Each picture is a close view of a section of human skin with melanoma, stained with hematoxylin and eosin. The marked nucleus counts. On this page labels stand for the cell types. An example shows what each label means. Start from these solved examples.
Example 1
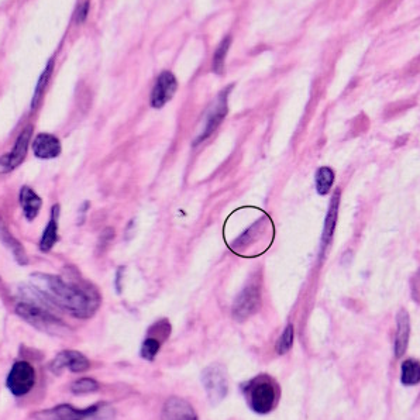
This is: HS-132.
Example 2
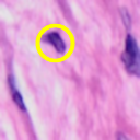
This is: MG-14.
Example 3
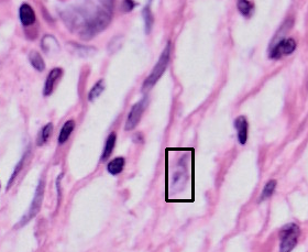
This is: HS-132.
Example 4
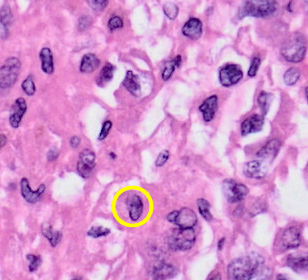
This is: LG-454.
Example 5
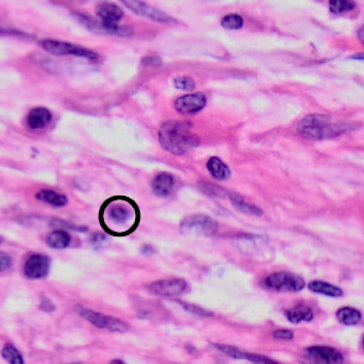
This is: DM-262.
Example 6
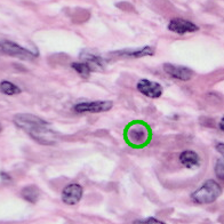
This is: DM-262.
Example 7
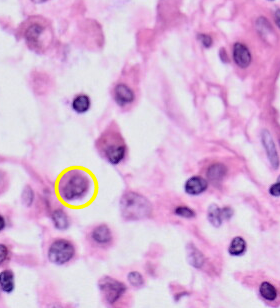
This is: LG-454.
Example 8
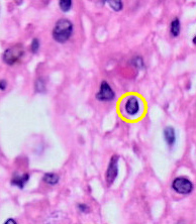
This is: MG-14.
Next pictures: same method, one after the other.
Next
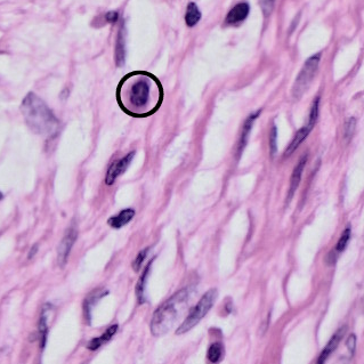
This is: DM-262.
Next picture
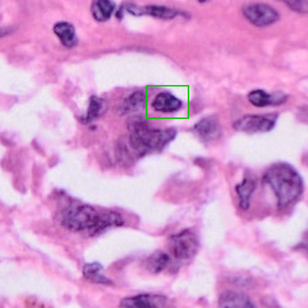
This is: MG-14.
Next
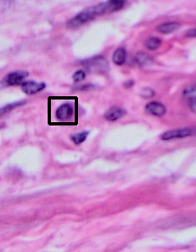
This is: DM-262.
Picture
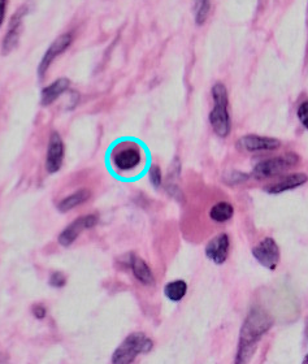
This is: DM-262.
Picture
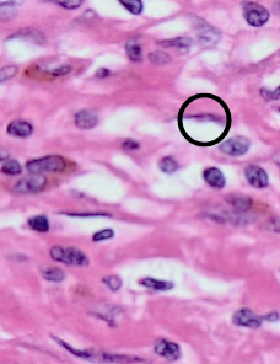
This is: HS-132.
